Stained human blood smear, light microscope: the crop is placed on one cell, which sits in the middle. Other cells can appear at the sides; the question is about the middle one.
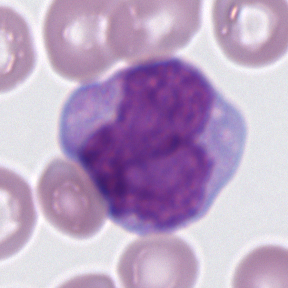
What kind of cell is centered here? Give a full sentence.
Classification of the middle cell gives an atypical promyelocyte.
